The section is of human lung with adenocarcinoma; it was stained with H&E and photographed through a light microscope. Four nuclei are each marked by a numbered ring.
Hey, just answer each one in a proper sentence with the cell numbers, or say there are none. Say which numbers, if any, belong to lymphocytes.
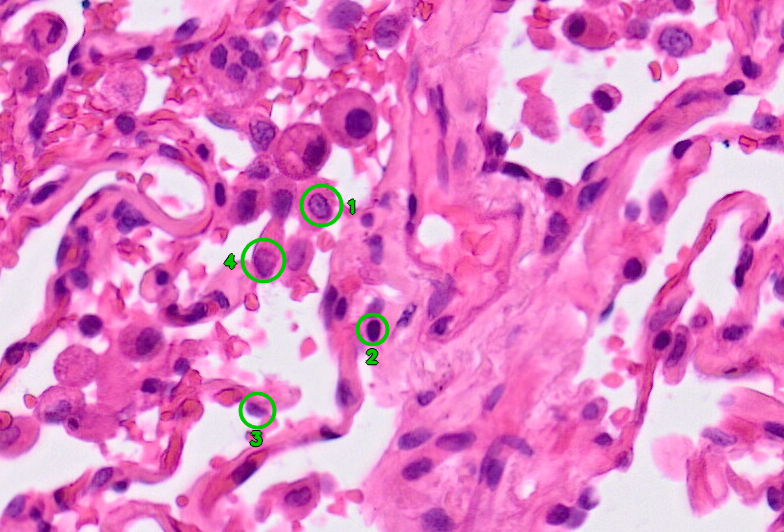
Cell 2 is a lymphocyte, while all remaining marked cells are of other types.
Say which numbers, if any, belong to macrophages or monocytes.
The cells that bear the numbers 1 and 4 are macrophages or monocytes.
